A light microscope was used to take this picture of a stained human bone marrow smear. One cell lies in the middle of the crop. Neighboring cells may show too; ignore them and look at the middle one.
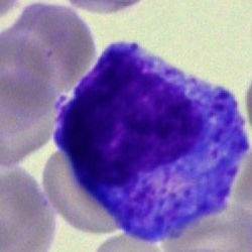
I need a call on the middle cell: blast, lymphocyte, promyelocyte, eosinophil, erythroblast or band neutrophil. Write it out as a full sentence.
By type, the central cell of the crop is a promyelocyte.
